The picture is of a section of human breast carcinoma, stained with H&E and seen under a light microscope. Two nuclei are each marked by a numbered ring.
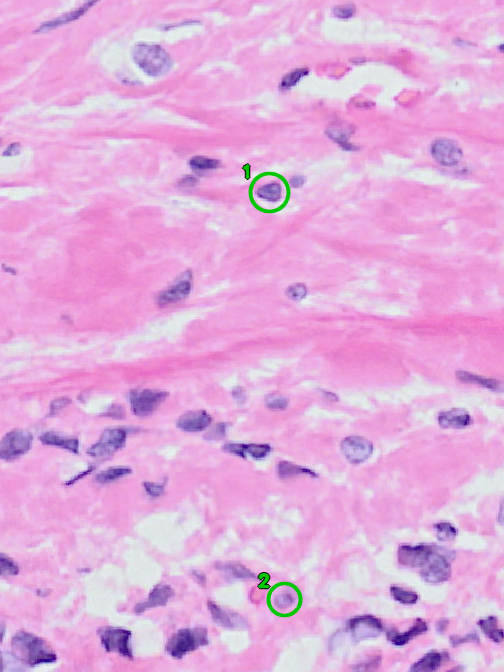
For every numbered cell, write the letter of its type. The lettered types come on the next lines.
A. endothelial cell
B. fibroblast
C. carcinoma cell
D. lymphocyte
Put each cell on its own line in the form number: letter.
1: D
2: A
